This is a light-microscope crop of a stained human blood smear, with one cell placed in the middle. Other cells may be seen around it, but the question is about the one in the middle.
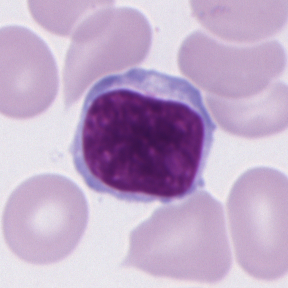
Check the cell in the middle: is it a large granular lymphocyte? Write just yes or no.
no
